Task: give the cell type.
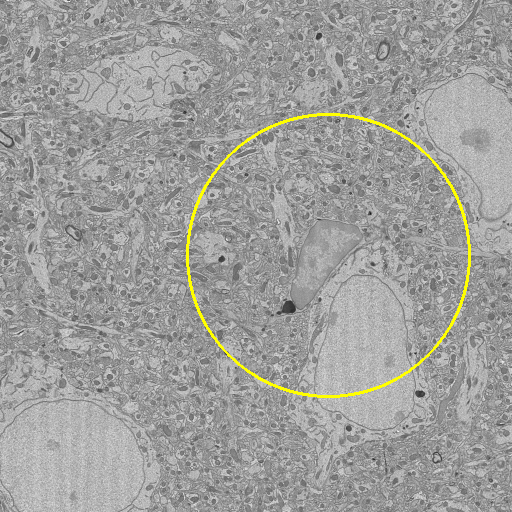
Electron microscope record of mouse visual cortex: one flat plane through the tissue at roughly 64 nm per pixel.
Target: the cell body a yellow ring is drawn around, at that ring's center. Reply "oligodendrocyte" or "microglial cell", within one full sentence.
In this picture, the cell whose body lies at the ring's center is a microglial cell.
